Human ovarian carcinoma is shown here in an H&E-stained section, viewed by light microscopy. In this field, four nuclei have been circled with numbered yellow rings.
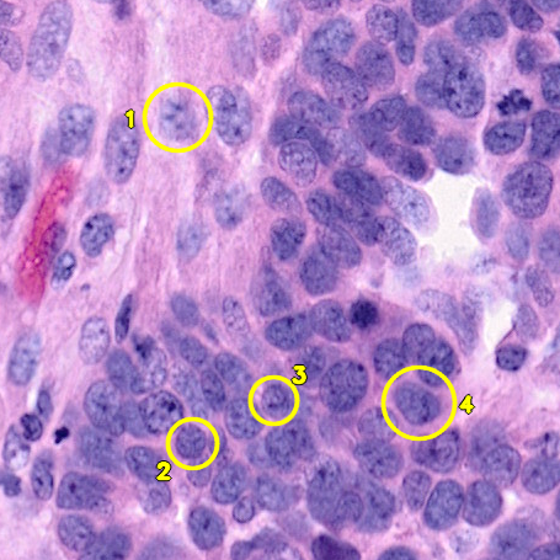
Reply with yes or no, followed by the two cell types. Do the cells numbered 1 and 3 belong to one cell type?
No: cell 1 is a fibroblast, while cell 3 is a carcinoma cell.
